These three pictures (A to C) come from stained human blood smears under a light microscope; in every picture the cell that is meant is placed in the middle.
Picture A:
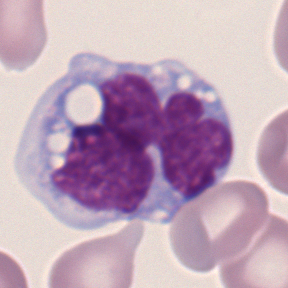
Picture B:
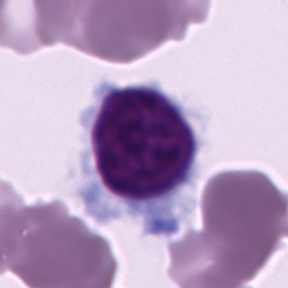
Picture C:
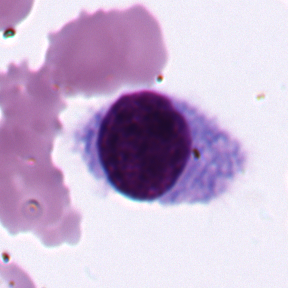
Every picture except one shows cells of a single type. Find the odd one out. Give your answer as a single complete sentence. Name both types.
Picture A is the odd one out: it shows a monocyte, while the others show hairy cells.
